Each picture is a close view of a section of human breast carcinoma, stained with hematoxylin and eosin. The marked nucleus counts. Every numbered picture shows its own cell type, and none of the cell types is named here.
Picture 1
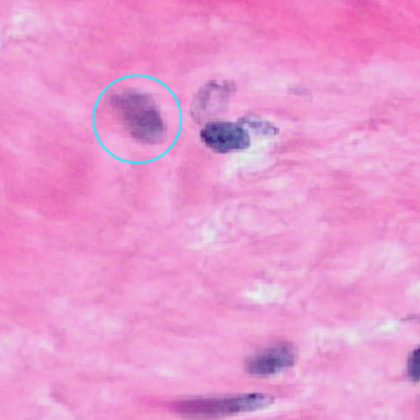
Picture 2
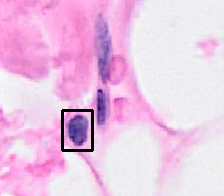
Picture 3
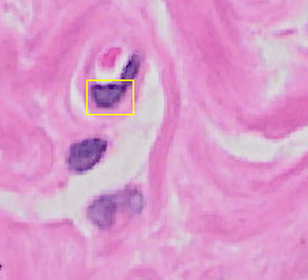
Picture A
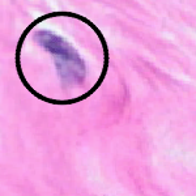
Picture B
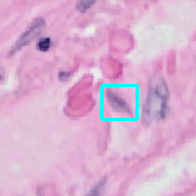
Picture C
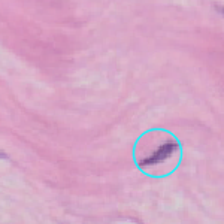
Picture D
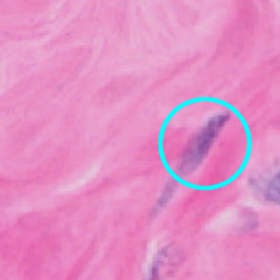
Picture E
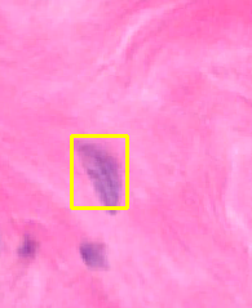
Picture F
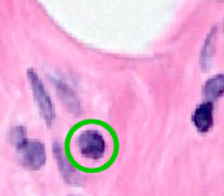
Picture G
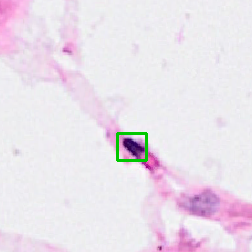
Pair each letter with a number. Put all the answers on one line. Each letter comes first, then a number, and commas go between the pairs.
A 1, B 3, C 1, D 1, E 1, F 2, G 3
